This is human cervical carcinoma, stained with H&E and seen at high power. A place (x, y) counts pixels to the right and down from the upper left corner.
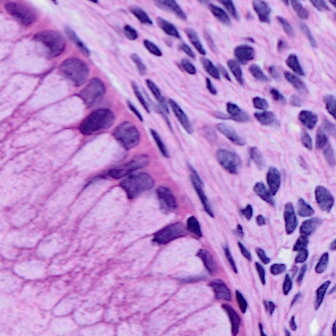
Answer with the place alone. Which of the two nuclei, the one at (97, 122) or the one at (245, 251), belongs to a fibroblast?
(245, 251)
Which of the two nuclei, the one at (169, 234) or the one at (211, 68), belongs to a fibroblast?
(211, 68)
